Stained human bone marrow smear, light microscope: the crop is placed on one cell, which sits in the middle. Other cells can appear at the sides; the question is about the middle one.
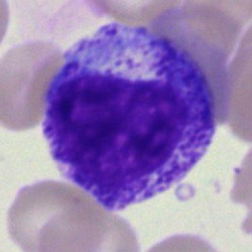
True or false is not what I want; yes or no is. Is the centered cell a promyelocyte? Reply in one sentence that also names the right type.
Yes, it is a promyelocyte that is seen at the centre of the crop.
